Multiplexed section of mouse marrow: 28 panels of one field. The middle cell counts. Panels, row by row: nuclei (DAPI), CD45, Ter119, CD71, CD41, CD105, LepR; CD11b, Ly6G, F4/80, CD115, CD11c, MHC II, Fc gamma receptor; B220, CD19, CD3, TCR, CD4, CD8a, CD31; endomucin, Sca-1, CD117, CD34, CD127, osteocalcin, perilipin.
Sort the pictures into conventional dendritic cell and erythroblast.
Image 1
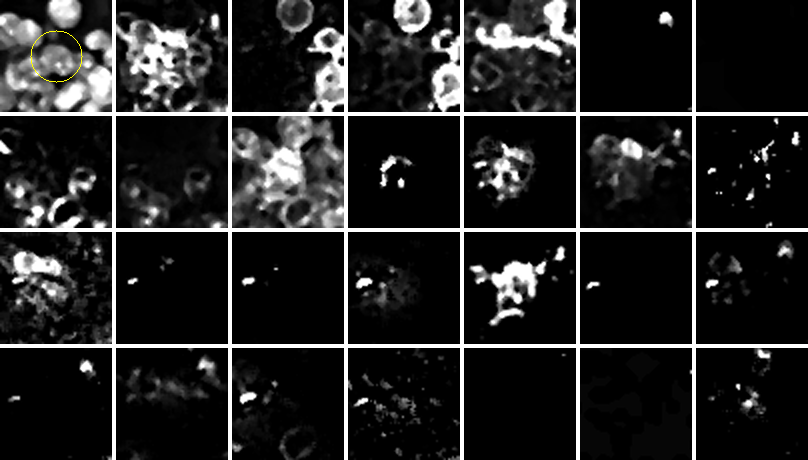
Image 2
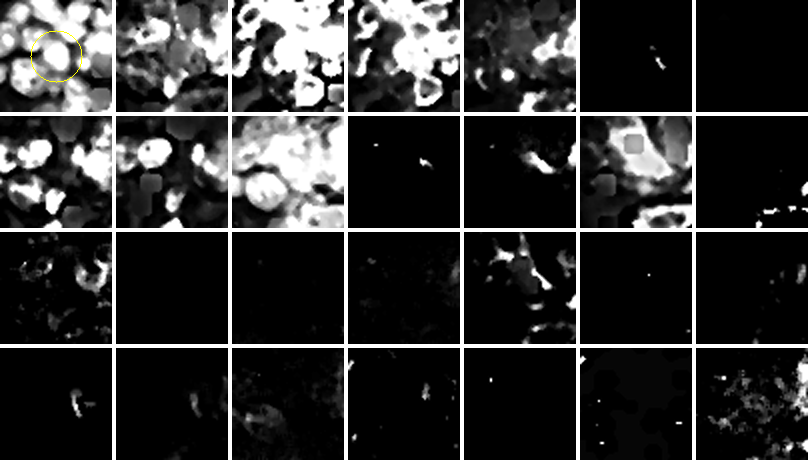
Conventional dendritic cells: 1
Erythroblasts: 2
